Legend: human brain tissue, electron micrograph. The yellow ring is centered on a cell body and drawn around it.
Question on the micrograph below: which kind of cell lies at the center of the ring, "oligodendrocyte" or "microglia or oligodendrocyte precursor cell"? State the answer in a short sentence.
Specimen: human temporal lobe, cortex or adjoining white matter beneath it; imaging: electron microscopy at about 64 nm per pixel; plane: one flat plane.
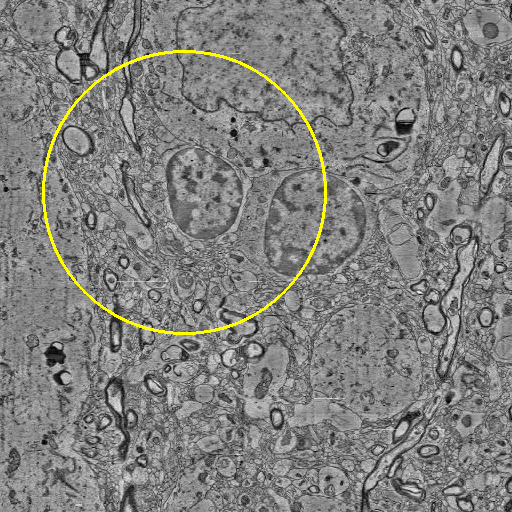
At the center of the ring lies a microglial cell or oligodendrocyte precursor cell.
